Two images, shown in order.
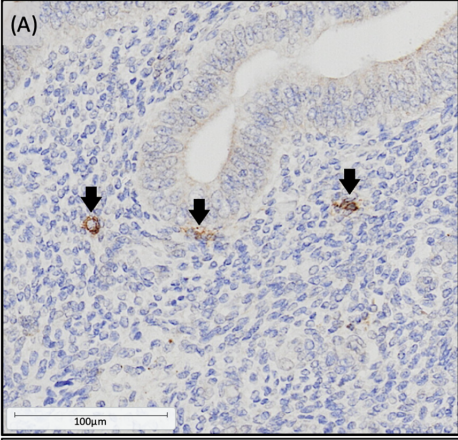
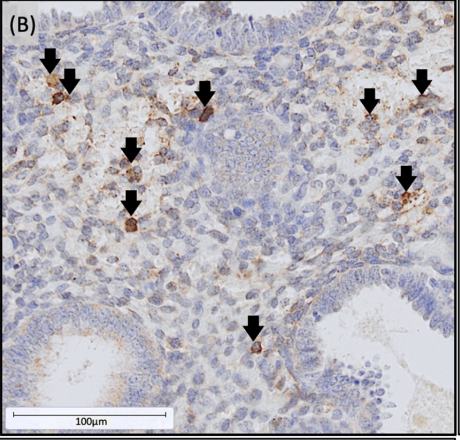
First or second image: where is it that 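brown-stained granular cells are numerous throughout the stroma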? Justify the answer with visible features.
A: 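The second image. Second image: many brown granular cells scattered across the stroma. First image: only a few isolated brown cells in the stroma.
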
